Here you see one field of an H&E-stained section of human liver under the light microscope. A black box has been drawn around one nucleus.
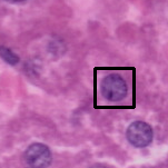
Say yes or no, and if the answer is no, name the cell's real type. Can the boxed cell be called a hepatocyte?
Yes.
